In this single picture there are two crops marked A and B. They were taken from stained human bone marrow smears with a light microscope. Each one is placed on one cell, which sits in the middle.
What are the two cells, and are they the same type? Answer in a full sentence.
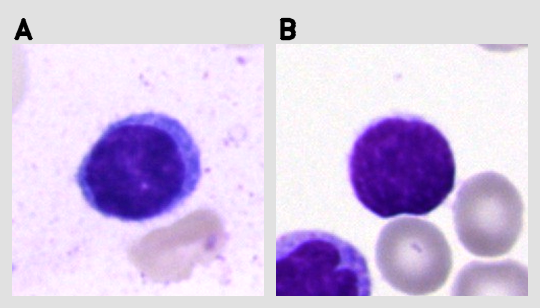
Yes, the two crops share the same answer, lymphocytes.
